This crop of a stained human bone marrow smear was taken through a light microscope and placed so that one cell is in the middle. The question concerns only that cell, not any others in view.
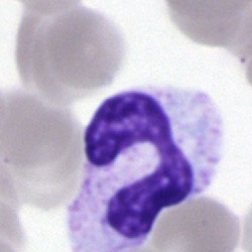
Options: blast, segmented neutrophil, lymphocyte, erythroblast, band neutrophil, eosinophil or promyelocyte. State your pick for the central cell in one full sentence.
The cell at the central position in this crop is a segmented neutrophil.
